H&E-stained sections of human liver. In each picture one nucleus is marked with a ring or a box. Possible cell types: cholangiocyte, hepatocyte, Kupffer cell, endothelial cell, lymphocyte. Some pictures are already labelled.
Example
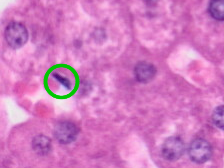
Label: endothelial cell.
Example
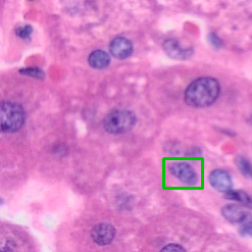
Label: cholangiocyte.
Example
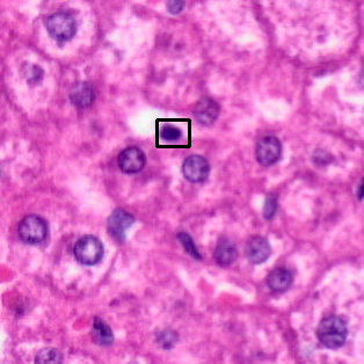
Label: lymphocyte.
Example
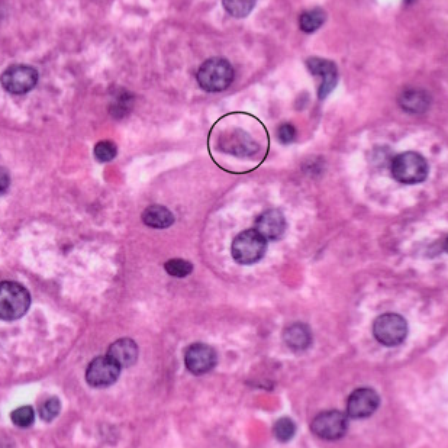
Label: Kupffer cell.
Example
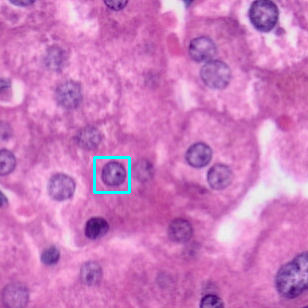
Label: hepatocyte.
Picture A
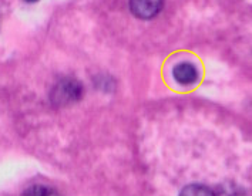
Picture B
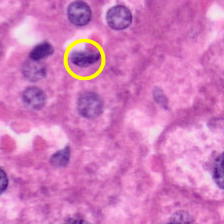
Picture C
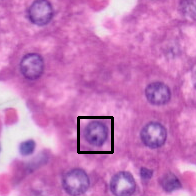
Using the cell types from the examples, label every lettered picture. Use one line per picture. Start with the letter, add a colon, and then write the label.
A: lymphocyte.
B: endothelial cell.
C: hepatocyte.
